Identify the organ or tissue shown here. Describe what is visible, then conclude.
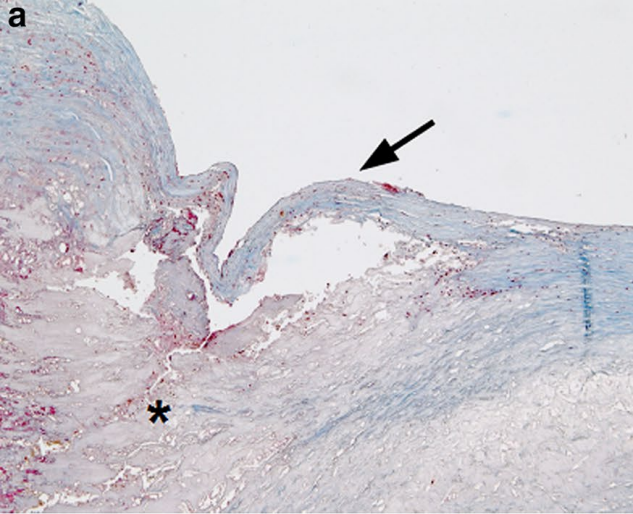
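A thin blue-stained fibrous layer covers a pale, loose core. The surface layer is intact and folds over the core without a break. So: thin cap fibroatheroma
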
